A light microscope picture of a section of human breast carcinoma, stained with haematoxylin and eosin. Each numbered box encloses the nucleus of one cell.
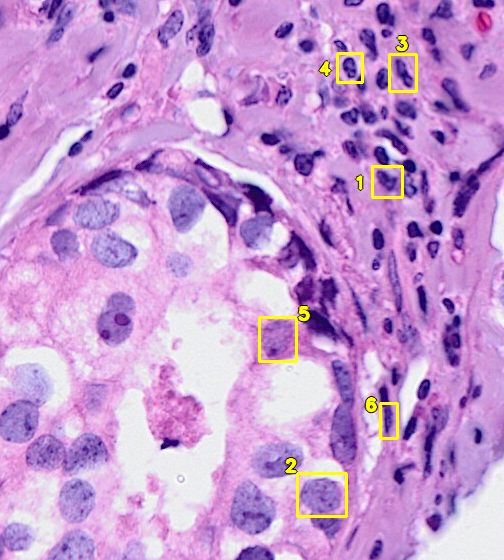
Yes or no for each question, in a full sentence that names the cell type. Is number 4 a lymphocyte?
Yes, the numbered cell 4 is a lymphocyte.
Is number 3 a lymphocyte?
Yes, the cell tagged with the number 3 is a lymphocyte.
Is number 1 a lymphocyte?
Yes, among the marked cells, the one with number 1 is a lymphocyte.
